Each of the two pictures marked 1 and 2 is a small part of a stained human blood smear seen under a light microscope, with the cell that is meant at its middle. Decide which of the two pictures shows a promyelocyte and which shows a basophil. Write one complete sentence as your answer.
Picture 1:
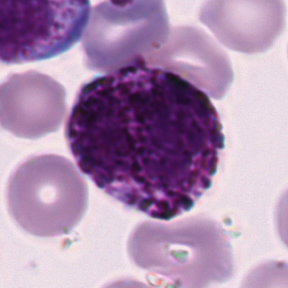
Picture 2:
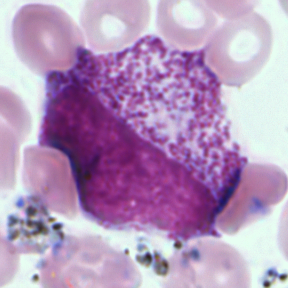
Picture 1 shows a basophil and picture 2 shows a promyelocyte.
